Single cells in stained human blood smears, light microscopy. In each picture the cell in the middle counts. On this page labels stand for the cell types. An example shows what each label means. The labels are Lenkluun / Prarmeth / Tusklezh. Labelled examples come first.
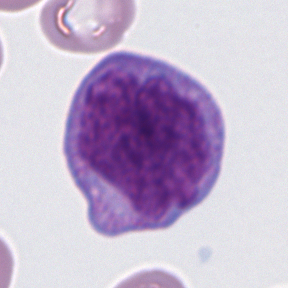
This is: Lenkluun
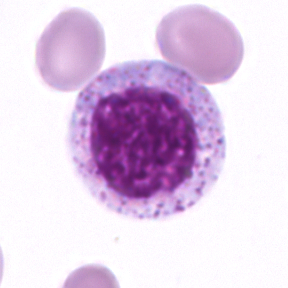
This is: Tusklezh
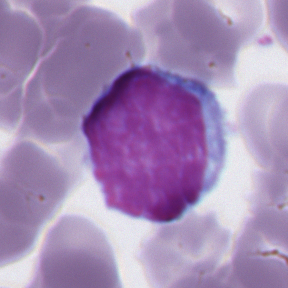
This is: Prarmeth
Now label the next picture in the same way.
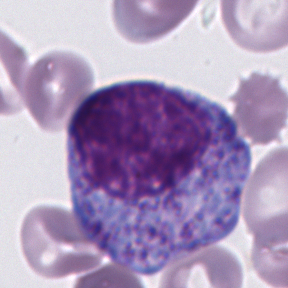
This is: Tusklezh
